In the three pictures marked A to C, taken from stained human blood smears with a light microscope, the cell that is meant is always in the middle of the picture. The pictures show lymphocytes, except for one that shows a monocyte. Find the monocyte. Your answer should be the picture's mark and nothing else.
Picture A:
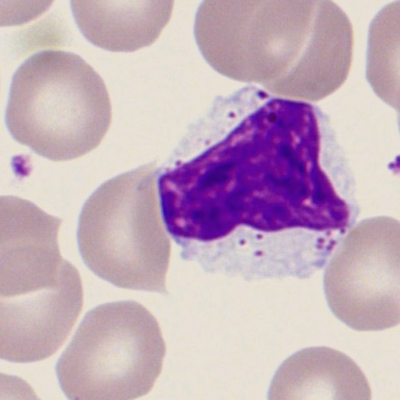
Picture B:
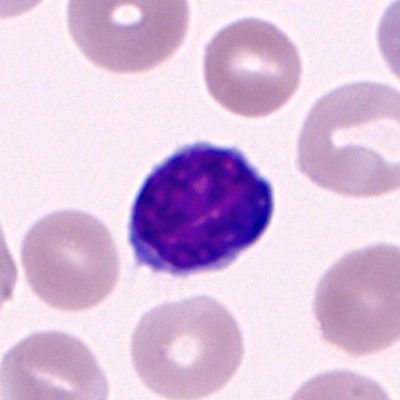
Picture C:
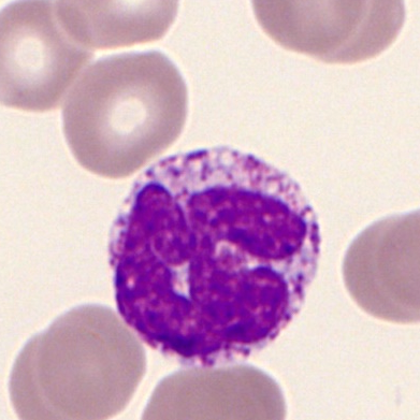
C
